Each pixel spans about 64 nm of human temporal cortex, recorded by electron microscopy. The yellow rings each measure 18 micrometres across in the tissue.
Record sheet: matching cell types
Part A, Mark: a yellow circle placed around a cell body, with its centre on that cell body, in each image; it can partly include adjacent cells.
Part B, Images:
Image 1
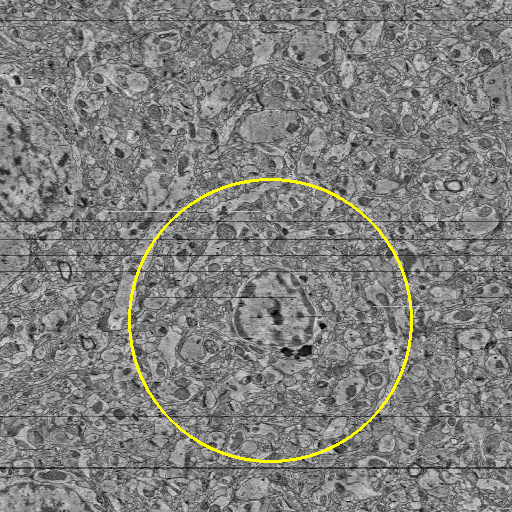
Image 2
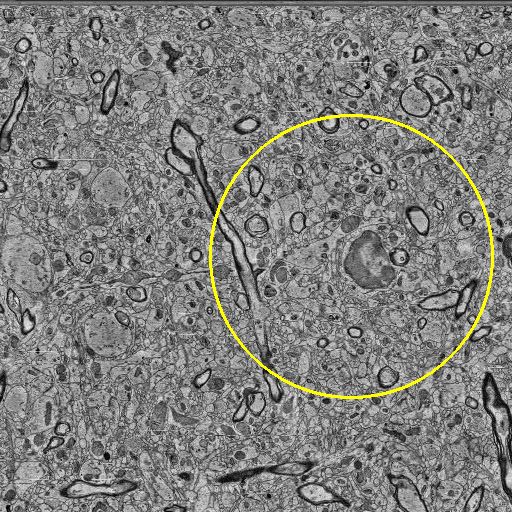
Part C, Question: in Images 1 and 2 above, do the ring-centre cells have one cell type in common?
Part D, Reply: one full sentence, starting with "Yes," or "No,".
Yes, the ring-centre cells of Image 1 and Image 2 are both of a single cell type.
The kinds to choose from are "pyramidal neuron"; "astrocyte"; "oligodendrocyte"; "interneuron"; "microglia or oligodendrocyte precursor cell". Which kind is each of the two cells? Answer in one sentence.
Each of the ringed cells, first and second, is a microglial cell or oligodendrocyte precursor cell.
